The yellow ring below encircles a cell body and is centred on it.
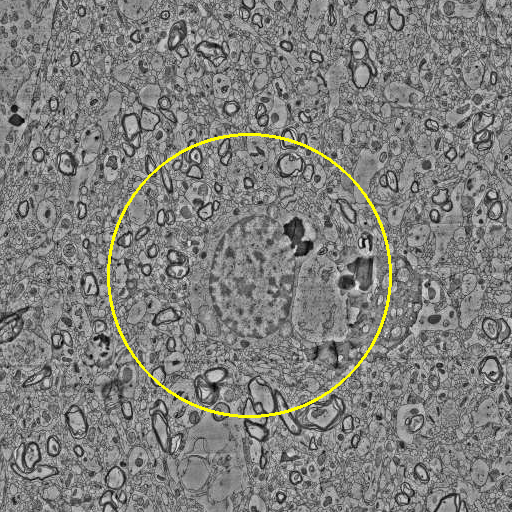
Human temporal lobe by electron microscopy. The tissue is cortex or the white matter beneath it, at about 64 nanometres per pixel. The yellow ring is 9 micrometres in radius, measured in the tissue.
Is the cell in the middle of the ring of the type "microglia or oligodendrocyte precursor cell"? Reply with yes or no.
no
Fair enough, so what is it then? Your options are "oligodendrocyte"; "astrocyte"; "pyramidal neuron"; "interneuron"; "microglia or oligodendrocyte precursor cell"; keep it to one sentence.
Instead, the cell at the centre of the ring is an oligodendrocyte.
